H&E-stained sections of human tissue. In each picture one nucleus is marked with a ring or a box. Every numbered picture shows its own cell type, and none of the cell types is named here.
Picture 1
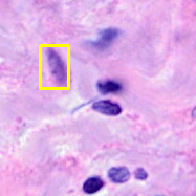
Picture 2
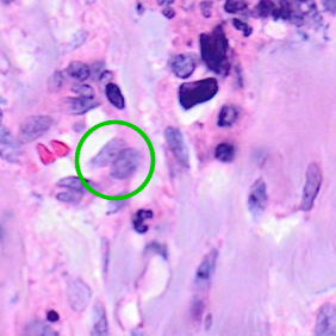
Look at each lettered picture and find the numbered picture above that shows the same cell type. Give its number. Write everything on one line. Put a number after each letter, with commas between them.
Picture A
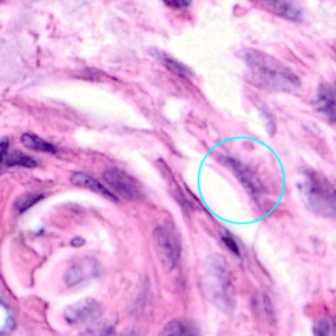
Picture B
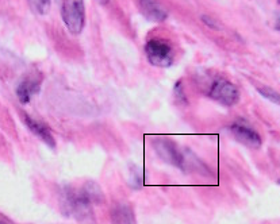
A 1, B 1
